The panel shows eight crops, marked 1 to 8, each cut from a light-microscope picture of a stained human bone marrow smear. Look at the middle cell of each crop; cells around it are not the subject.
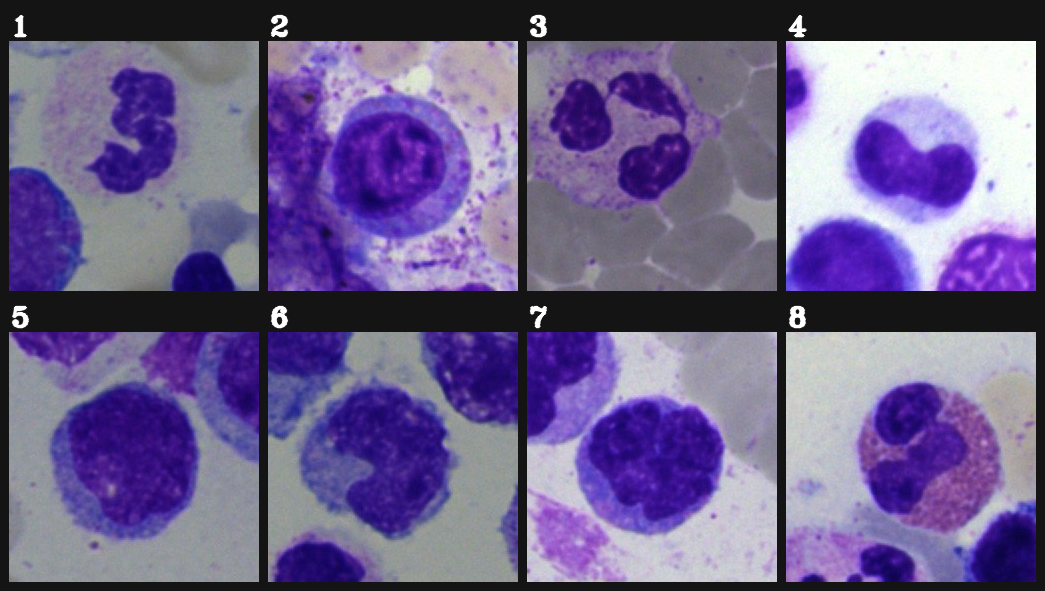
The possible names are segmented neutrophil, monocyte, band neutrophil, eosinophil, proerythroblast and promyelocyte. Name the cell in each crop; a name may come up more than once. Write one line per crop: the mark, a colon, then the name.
1: segmented neutrophil
2: promyelocyte
3: segmented neutrophil
4: band neutrophil
5: monocyte
6: monocyte
7: monocyte
8: eosinophil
